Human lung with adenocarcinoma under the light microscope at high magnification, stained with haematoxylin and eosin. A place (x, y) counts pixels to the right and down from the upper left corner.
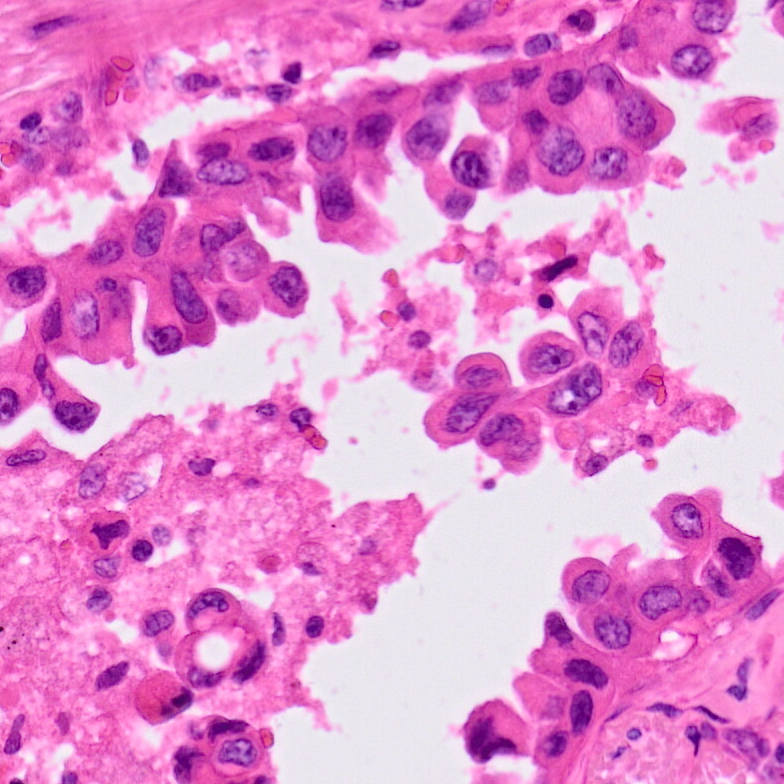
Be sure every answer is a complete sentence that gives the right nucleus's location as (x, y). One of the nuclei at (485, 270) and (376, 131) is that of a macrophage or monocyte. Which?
The nucleus at (485, 270) is attributed to a macrophage or monocyte, unlike the other nucleus.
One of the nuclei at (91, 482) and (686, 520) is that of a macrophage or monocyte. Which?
The cell to which the nucleus at (91, 482) belongs is a macrophage or monocyte.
